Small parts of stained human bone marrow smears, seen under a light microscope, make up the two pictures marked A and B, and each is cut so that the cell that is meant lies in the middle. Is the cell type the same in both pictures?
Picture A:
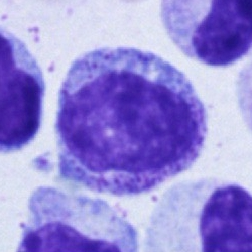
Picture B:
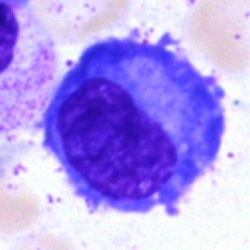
no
